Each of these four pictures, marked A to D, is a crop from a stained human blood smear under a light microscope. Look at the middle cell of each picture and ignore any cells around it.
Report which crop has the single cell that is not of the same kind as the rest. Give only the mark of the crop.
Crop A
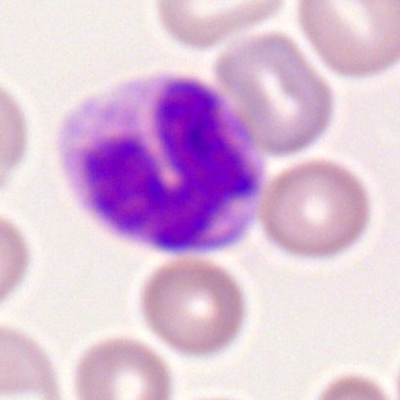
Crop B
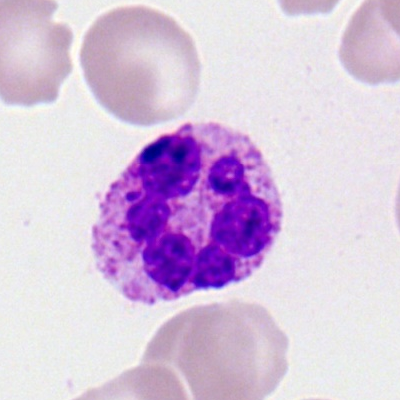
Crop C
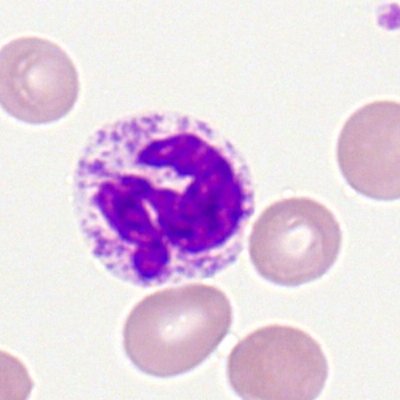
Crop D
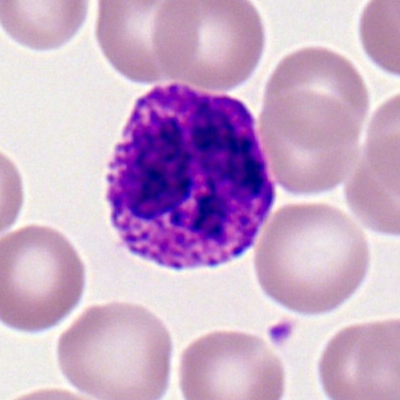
C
